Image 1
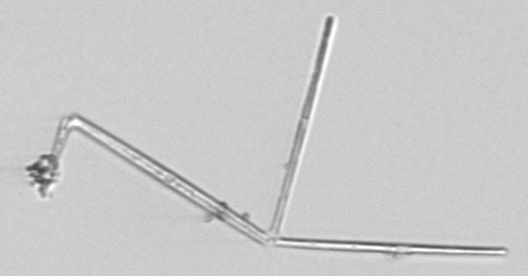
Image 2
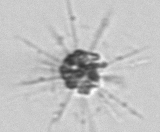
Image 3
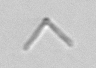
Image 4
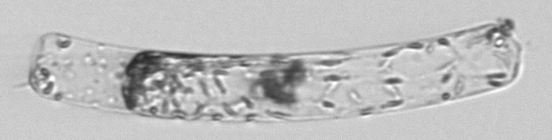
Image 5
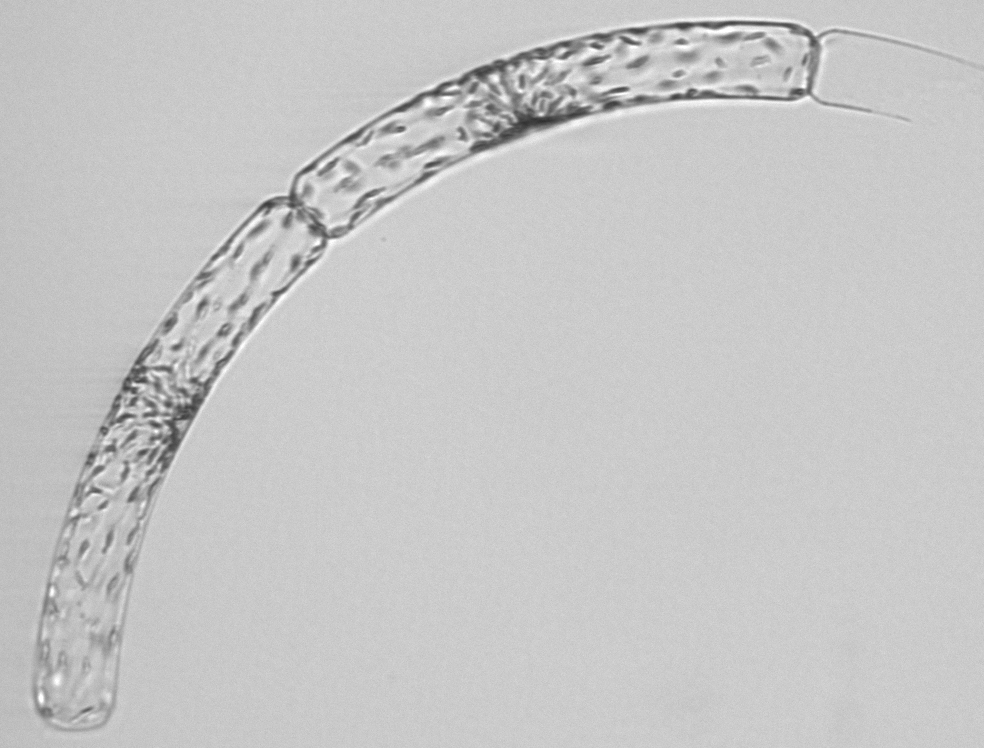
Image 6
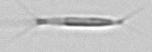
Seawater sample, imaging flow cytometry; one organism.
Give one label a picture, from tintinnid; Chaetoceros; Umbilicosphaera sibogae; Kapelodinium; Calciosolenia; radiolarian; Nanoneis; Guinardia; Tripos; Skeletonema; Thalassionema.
(1) Thalassionema
(2) radiolarian
(3) Nanoneis
(4) Guinardia
(5) Guinardia
(6) Calciosolenia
